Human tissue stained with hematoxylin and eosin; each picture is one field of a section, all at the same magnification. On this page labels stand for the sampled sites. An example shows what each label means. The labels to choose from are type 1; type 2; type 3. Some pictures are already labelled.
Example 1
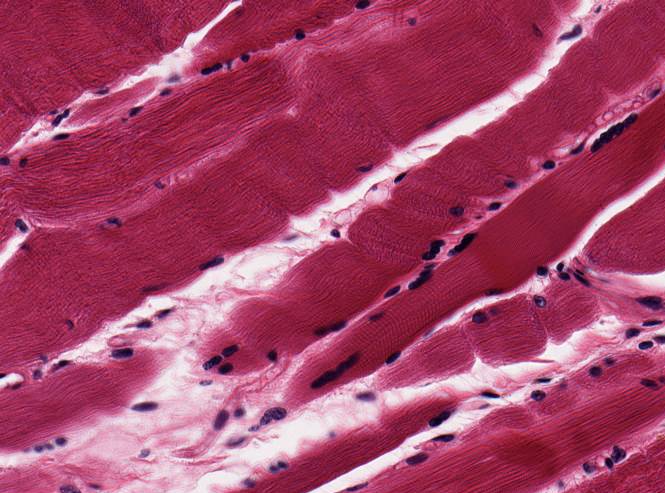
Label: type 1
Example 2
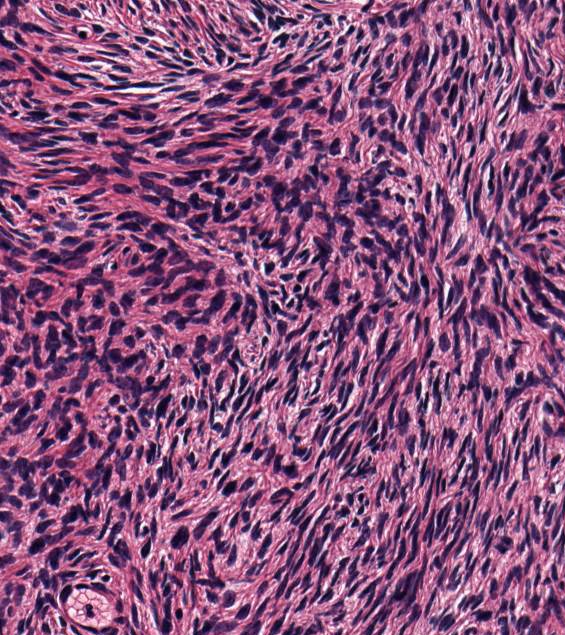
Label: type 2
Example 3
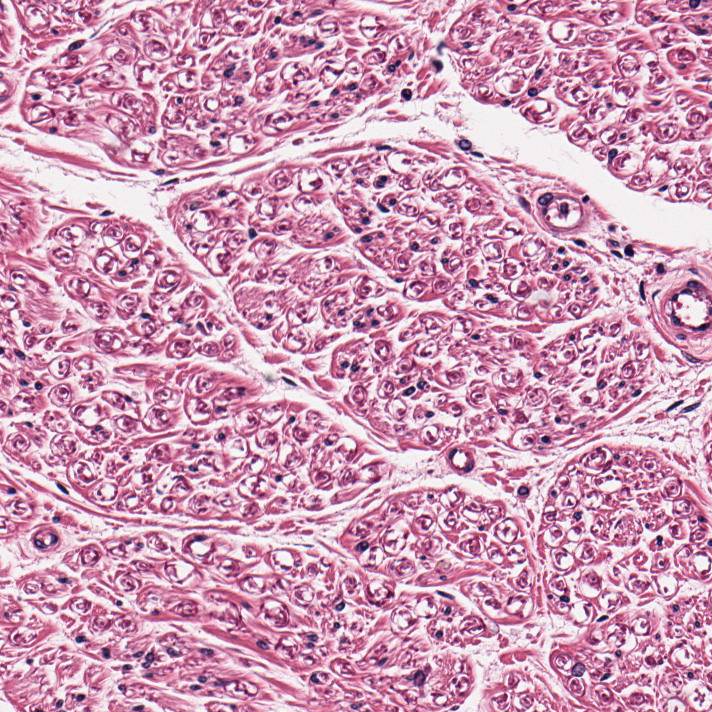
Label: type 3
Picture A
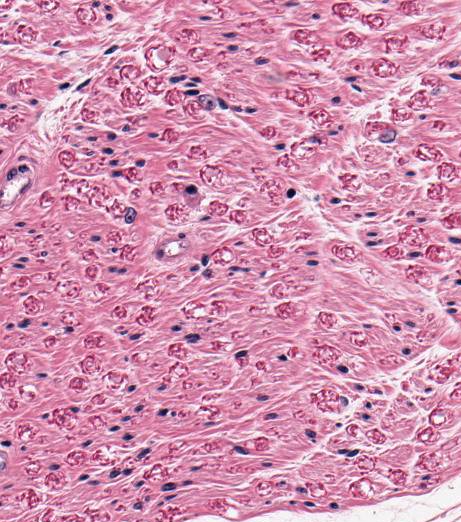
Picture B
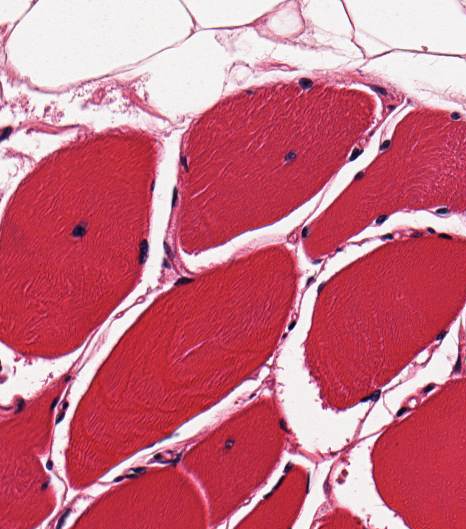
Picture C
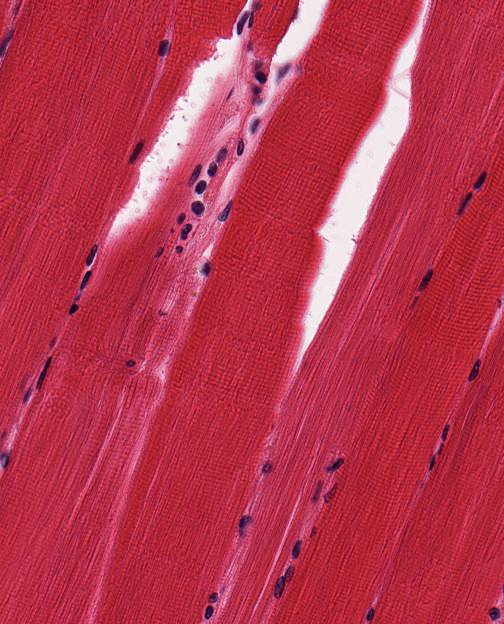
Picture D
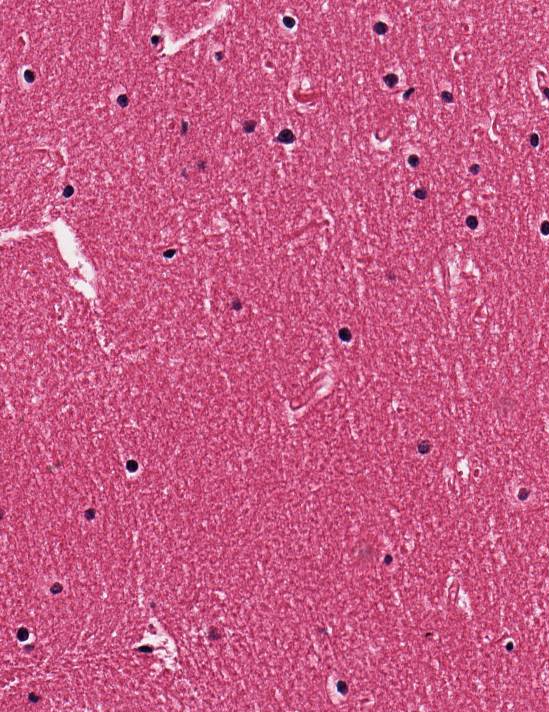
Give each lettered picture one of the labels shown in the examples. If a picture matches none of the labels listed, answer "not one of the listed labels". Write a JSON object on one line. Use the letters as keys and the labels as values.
{"A": "type 3", "B": "type 1", "C": "type 1", "D": "not one of the listed labels"}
